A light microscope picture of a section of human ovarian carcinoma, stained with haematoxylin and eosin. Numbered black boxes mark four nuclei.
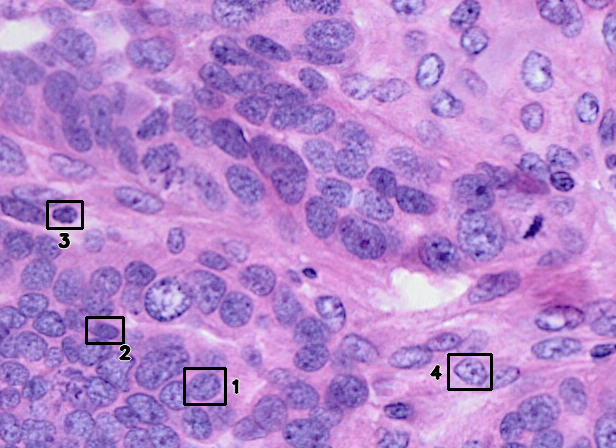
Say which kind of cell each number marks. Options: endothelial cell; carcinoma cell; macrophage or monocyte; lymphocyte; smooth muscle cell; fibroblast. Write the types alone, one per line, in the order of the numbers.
carcinoma cell
carcinoma cell
lymphocyte
fibroblast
